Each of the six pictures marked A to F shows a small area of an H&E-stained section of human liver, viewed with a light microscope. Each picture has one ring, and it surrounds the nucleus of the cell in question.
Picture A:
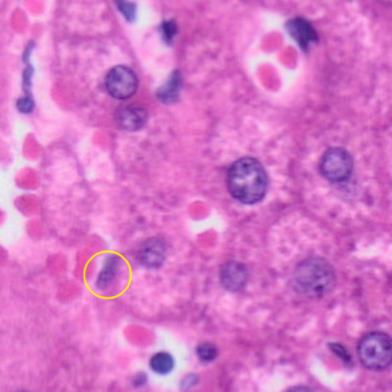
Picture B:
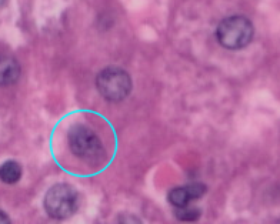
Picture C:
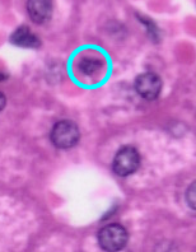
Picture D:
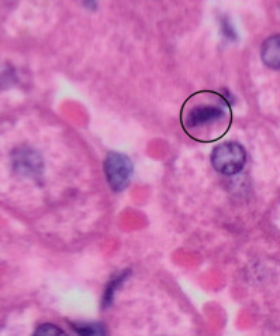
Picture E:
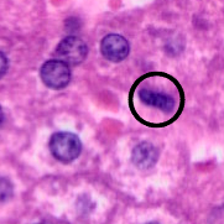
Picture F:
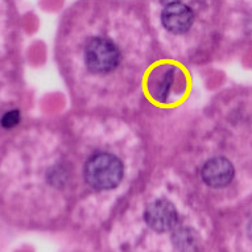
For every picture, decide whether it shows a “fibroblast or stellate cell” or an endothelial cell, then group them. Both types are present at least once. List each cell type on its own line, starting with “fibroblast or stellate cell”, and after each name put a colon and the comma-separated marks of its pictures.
fibroblast or stellate cell: C, D, E
endothelial cell: A, B, F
